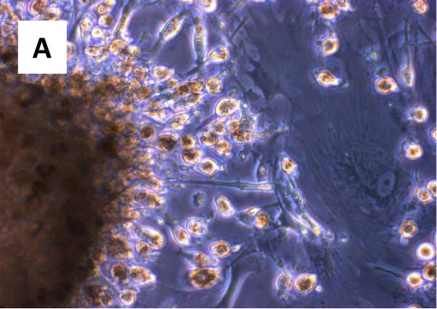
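Edge of a large cell mass in culture, a dense dark aggregate at the left with many small rounded, refractile cells crowded around its margin and scattered across the dish. Elongated spindle-shaped flat cells spread on the substrate between the rounded cells, some extending out from the aggregate.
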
